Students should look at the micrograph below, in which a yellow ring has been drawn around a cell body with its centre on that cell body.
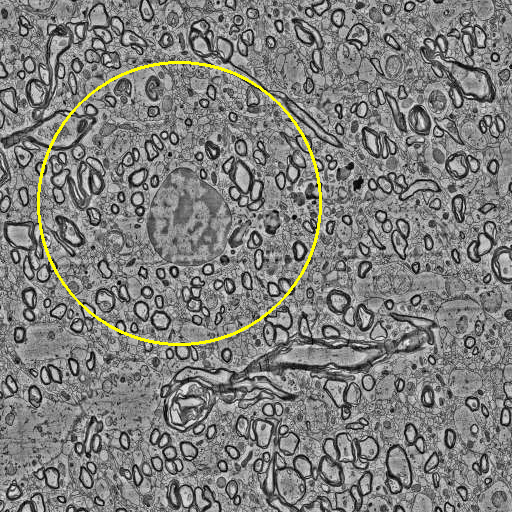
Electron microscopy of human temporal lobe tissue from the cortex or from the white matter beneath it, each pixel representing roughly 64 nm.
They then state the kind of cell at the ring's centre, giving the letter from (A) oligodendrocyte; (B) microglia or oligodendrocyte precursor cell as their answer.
B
